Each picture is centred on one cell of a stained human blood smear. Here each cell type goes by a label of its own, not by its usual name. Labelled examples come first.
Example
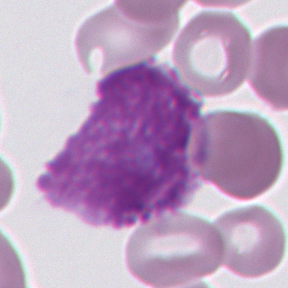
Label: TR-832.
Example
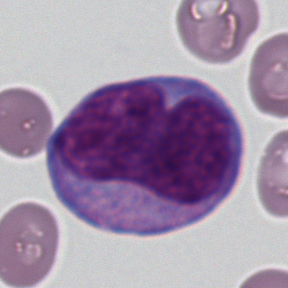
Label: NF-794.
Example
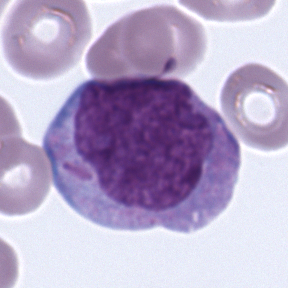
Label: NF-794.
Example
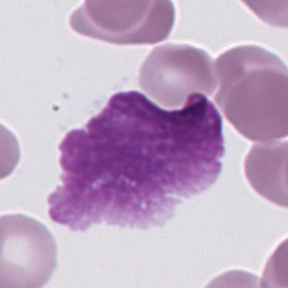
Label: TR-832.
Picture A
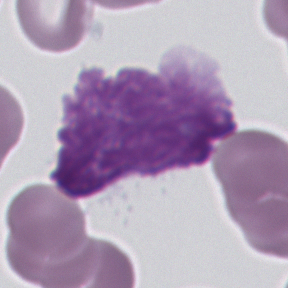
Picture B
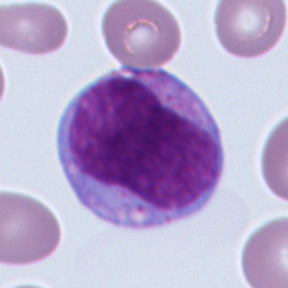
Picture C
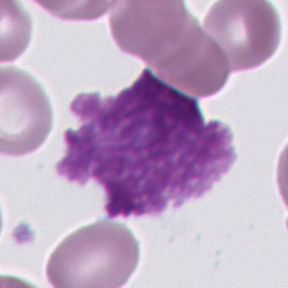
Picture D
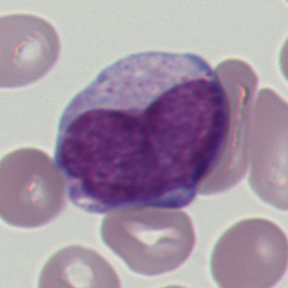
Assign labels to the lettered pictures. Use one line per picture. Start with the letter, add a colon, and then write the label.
A: TR-832.
B: NF-794.
C: TR-832.
D: NF-794.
